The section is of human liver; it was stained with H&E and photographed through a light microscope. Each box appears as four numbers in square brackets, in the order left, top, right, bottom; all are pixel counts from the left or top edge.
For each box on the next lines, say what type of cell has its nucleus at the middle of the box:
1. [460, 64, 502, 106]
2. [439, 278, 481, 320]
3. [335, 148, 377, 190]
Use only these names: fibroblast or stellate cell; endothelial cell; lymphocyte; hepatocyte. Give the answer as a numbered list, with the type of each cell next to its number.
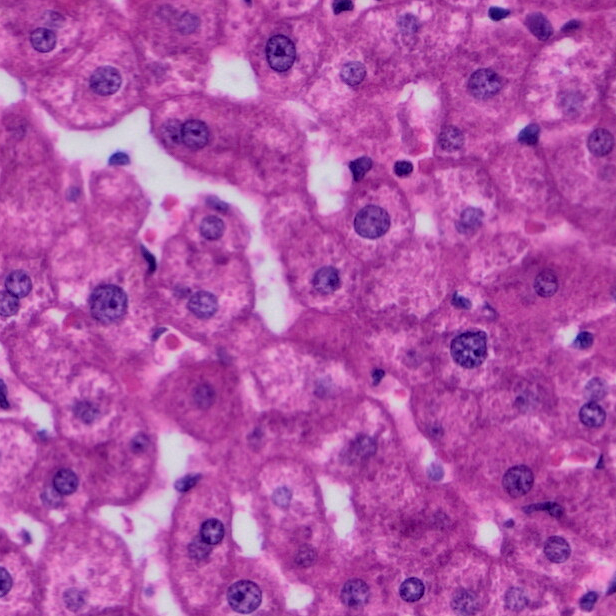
1. hepatocyte
2. endothelial cell
3. endothelial cell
